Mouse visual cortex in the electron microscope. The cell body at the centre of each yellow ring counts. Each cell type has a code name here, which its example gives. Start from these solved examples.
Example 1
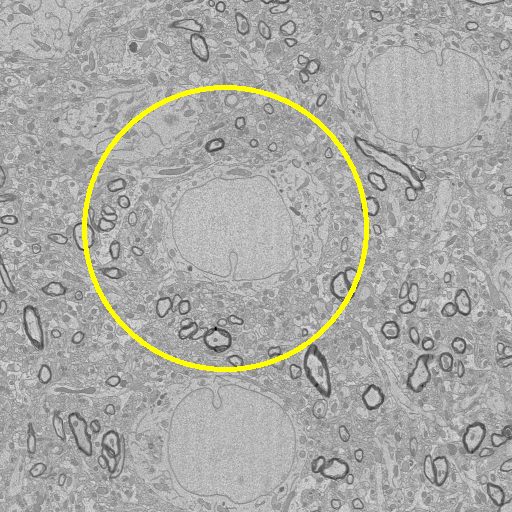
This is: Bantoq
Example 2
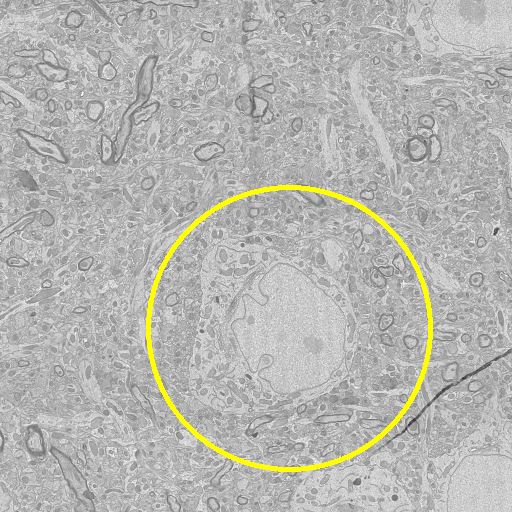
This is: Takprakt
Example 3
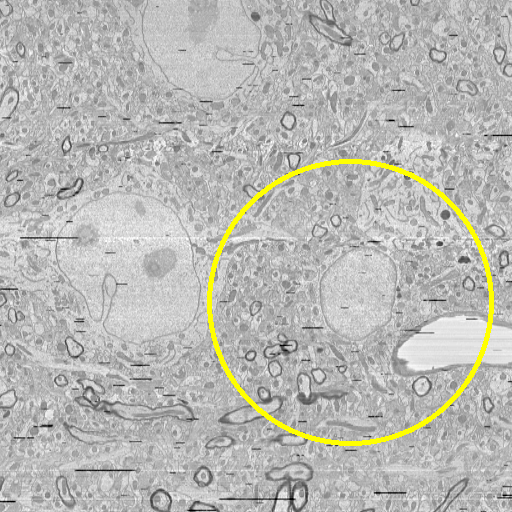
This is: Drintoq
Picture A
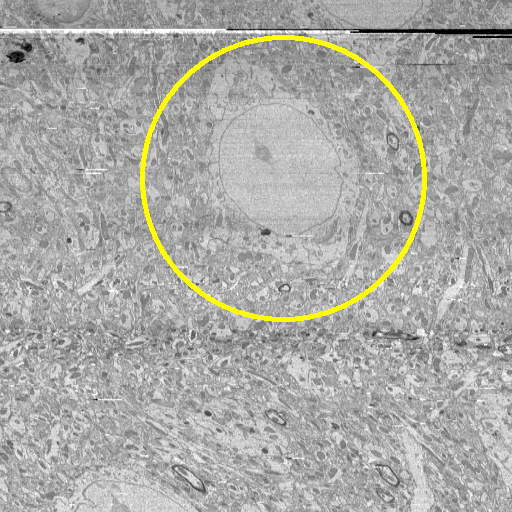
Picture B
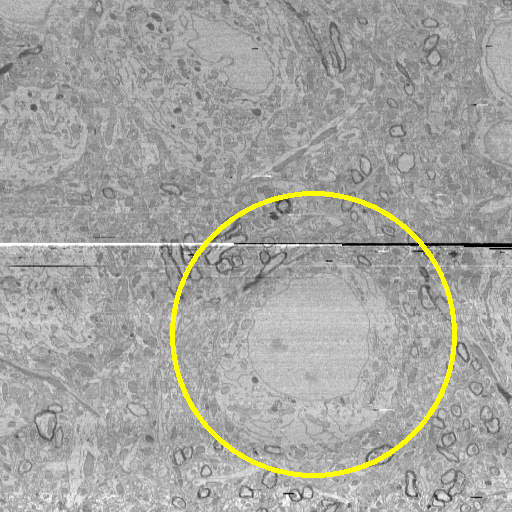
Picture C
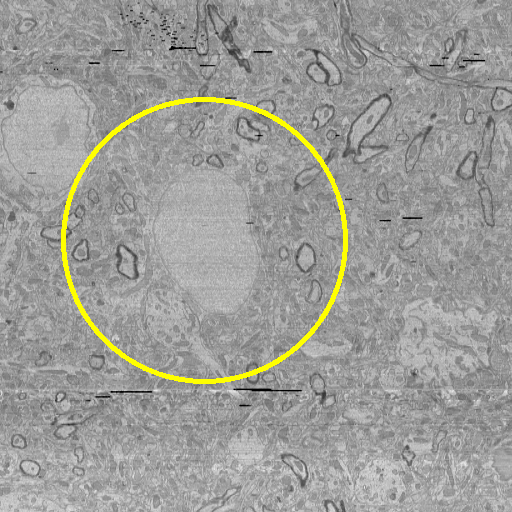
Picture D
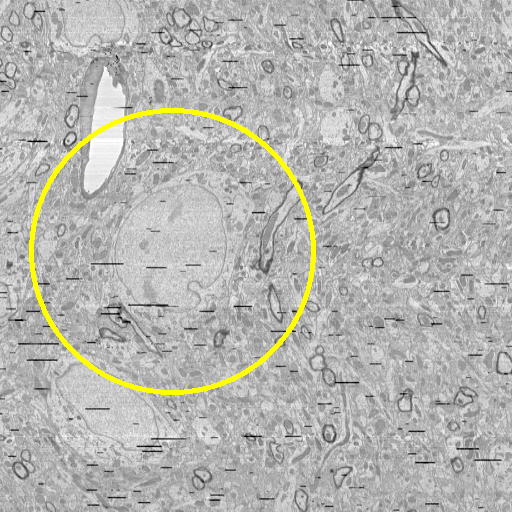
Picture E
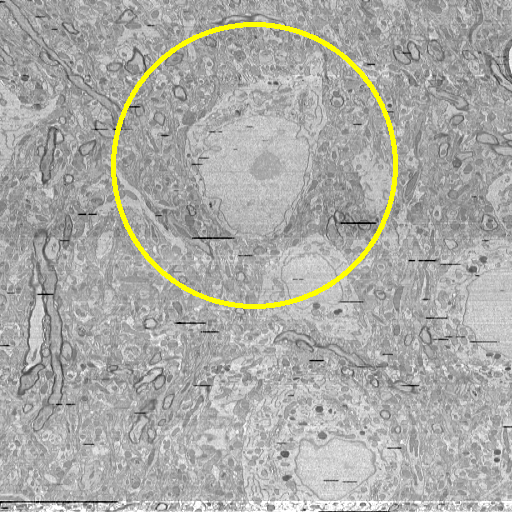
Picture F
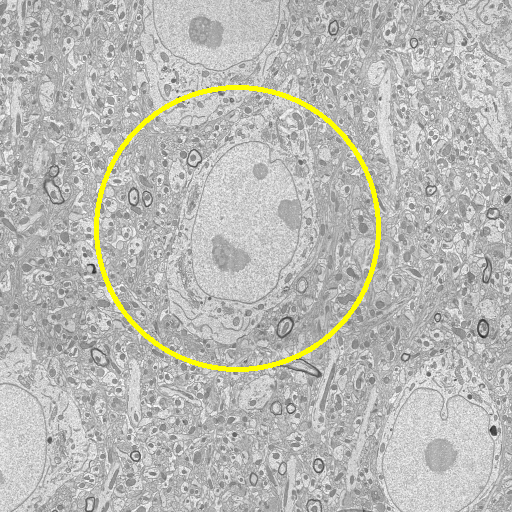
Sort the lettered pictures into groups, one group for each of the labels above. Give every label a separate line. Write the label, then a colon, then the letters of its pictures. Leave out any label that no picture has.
Bantoq: A, B, D, F
Takprakt: E
Drintoq: C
